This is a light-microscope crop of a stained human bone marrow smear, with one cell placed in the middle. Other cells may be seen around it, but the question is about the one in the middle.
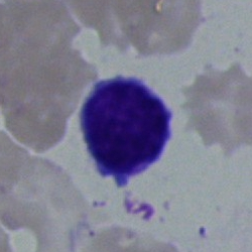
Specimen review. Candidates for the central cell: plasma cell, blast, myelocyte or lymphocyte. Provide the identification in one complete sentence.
The cell that lies at the centre of the crop is a lymphocyte.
